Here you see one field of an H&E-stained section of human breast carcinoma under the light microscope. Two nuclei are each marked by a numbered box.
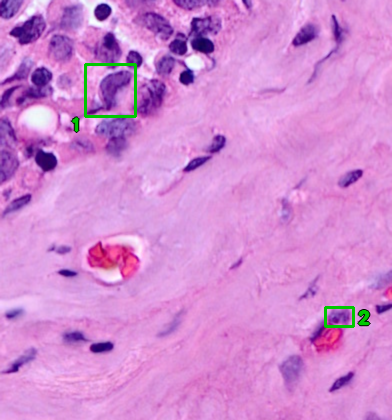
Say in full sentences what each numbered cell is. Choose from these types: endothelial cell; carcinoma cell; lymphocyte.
Cell 1 is a carcinoma cell. Cell 2 is an endothelial cell.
